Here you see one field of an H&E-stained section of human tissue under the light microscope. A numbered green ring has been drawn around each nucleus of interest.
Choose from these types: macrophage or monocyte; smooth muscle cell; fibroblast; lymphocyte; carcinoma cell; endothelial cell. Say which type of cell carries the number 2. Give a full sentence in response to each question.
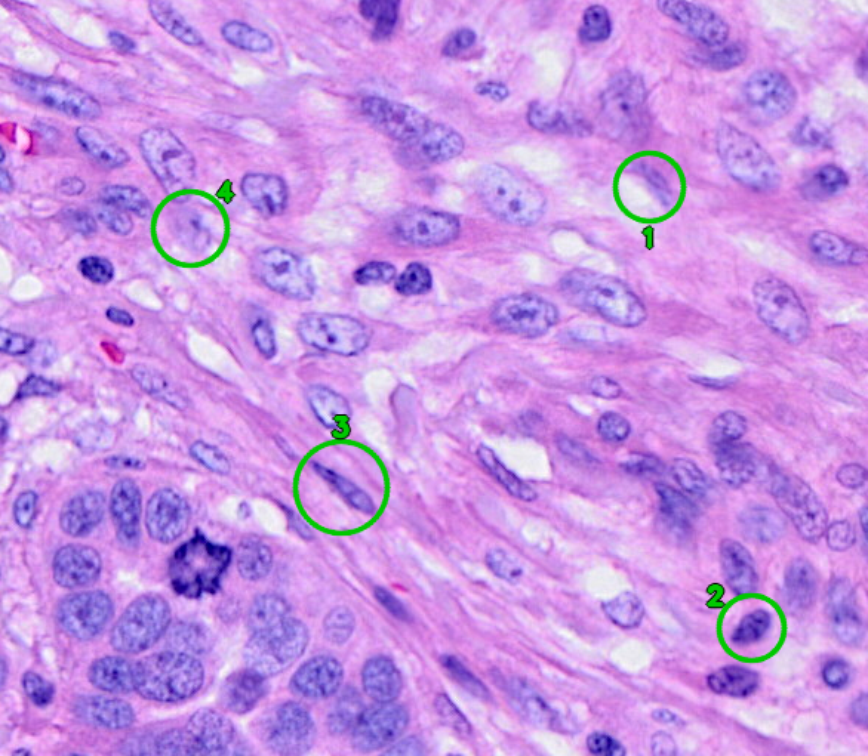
The cell indicated by marker 2 is a lymphocyte in this section.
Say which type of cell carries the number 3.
Corresponding to a fibroblast is the cell labelled 3.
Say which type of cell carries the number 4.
As for number 4, that cell is a fibroblast.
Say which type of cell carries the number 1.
The marked nucleus 1 is that of a fibroblast.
